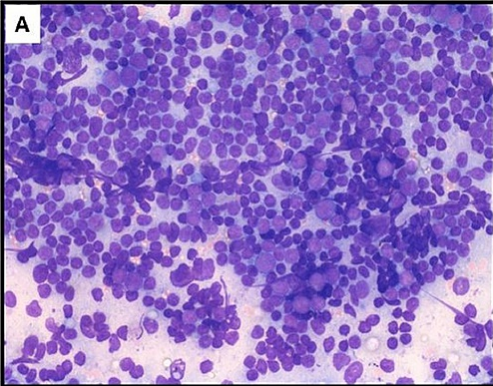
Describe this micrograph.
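This highly cellular smear shows a polymorphous population of reactive lymphoid cells lying singly and densely packed. Most are small mature lymphocytes with round, dark purple nuclei and scant cytoplasm. Scattered among them are larger cells with bigger, paler, more open nuclei and a rim of blue cytoplasm, corresponding to larger activated lymphoid forms. The cells vary clearly in size, and no cohesive epithelial groups are seen. The background is pale blue-grey.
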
